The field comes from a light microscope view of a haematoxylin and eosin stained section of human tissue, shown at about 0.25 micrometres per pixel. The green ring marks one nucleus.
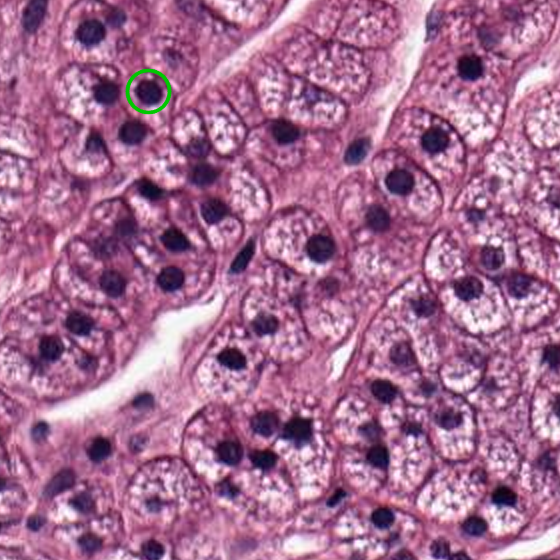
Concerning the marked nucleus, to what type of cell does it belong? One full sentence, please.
It is to an adrenal cortical cell that the marked nucleus belongs.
